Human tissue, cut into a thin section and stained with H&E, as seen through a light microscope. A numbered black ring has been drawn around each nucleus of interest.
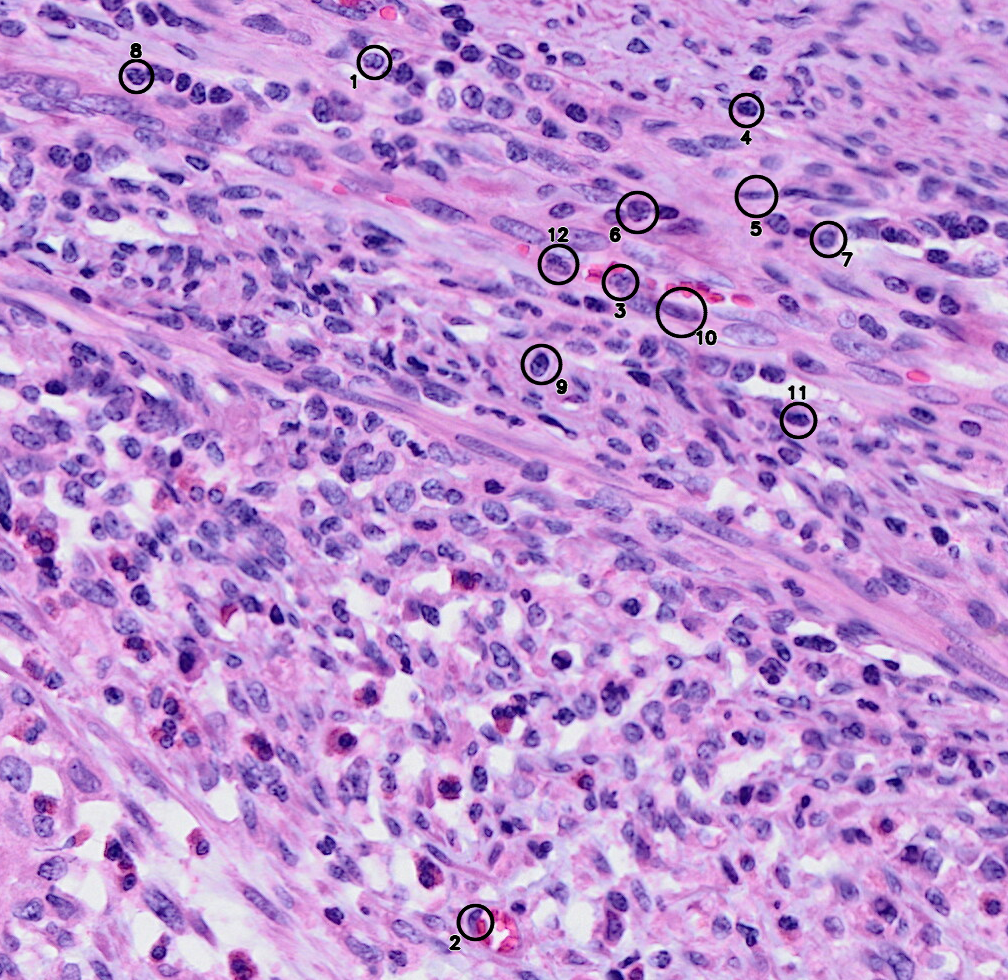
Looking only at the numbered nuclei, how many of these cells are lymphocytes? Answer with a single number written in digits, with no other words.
7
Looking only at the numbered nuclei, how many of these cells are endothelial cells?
4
